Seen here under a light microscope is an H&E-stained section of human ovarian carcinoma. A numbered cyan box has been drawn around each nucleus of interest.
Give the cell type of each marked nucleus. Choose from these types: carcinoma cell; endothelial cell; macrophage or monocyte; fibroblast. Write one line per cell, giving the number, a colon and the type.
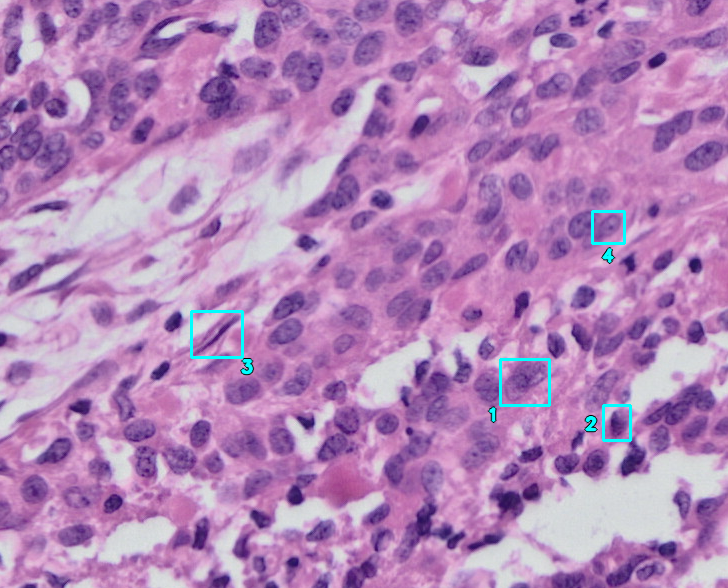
1: carcinoma cell
2: carcinoma cell
3: fibroblast
4: carcinoma cell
